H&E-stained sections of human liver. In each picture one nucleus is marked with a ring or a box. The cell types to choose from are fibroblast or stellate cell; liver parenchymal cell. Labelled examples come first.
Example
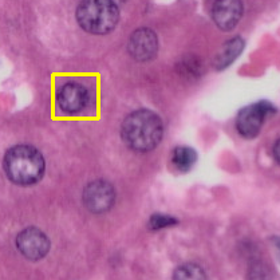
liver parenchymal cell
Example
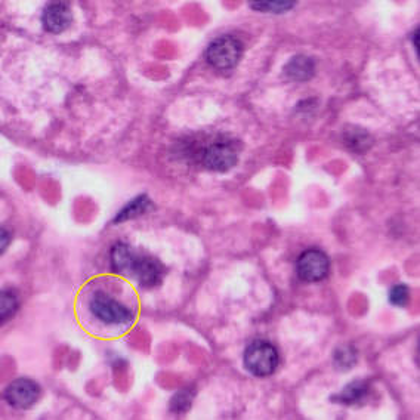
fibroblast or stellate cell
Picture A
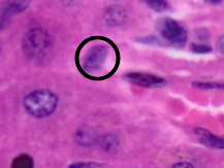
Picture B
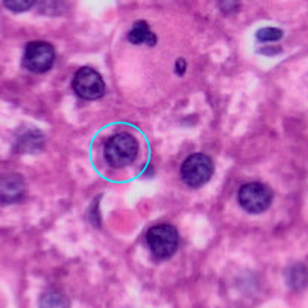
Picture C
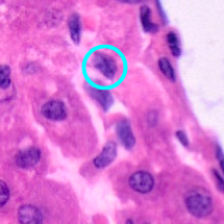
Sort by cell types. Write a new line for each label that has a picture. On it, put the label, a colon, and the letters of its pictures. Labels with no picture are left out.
fibroblast or stellate cell: A, C
liver parenchymal cell: B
